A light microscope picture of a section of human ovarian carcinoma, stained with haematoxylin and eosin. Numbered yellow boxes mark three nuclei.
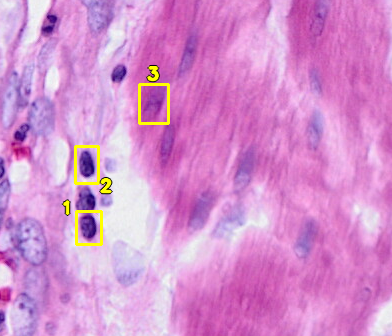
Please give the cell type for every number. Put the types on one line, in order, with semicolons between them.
lymphocyte; lymphocyte; smooth muscle cell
